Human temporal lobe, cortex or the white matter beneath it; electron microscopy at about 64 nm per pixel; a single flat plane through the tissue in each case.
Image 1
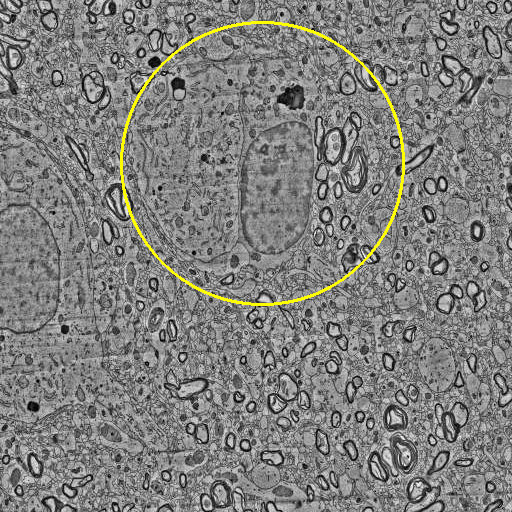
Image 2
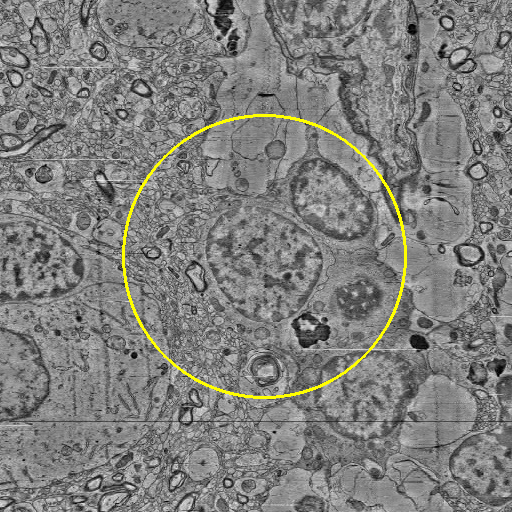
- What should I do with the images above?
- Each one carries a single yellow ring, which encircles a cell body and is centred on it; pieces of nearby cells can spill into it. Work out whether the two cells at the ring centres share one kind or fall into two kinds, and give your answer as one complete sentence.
The ring-centre cells of Image 1 and Image 2 share one kind.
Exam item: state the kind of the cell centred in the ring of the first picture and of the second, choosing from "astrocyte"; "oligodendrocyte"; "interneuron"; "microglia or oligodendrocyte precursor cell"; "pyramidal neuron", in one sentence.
Each of the two cells is an oligodendrocyte.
